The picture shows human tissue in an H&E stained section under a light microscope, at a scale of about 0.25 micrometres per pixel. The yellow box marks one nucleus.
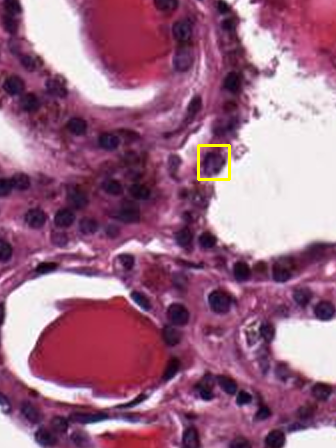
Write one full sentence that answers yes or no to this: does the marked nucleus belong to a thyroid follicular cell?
Yes, in this image it is a thyroid follicular cell that contains the marked nucleus.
